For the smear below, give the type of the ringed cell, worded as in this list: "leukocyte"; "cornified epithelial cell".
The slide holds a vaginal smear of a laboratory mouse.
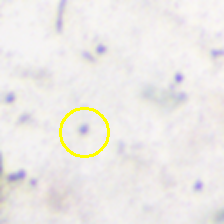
leukocyte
